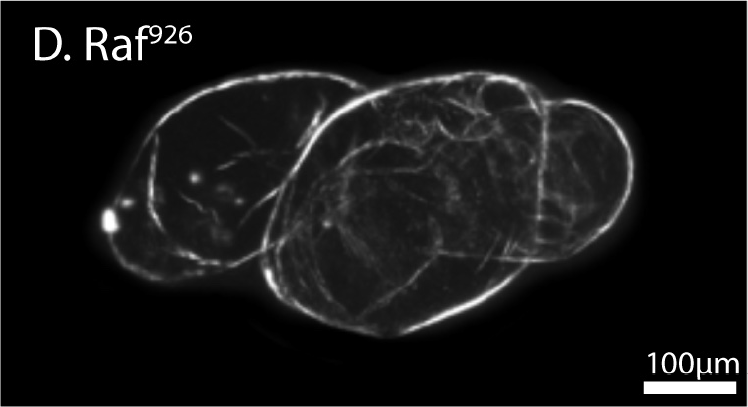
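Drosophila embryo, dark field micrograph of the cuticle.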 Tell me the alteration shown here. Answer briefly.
Strongly dorsalized phenotype.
